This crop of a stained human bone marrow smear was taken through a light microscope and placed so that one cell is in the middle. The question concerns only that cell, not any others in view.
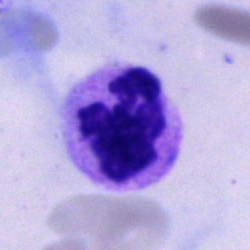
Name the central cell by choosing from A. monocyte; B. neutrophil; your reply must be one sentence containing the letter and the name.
Option B is correct in that the central cell is a neutrophil.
